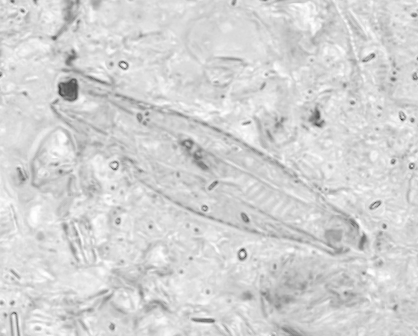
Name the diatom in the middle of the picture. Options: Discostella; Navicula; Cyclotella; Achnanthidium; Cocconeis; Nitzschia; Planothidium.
Navicula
